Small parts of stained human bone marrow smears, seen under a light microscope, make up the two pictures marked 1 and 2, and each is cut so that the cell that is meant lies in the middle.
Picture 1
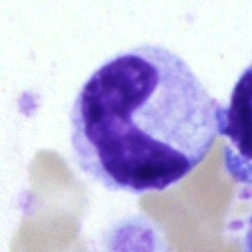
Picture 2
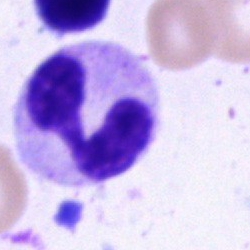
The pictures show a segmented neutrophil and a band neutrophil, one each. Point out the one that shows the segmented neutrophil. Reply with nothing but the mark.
2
